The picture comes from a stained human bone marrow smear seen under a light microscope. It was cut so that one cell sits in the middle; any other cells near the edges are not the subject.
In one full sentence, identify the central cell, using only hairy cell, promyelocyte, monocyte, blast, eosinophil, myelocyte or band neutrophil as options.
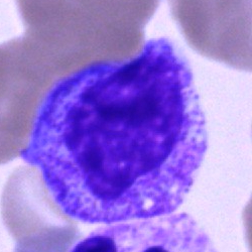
Whatever else lies nearby, the middle cell is a myelocyte.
